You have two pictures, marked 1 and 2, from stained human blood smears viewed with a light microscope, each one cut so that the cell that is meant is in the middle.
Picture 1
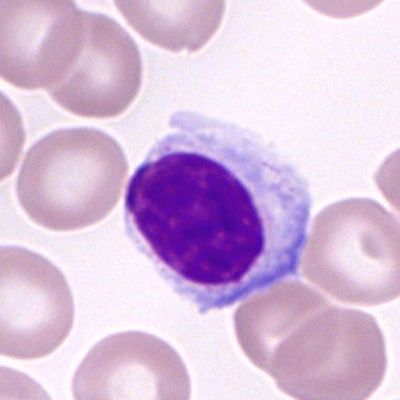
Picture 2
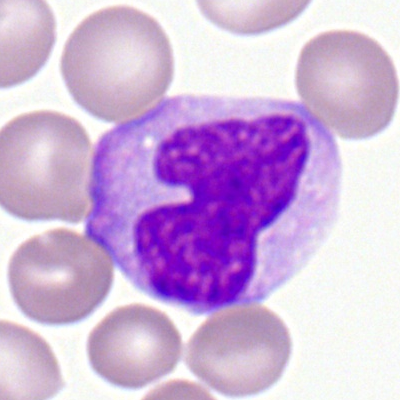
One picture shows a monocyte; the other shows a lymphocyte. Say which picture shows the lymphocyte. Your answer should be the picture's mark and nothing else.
1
